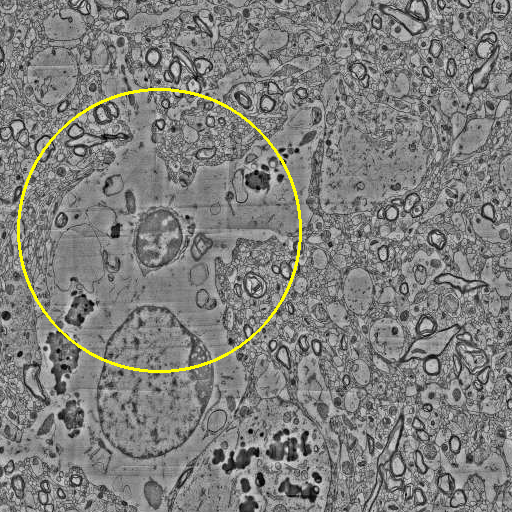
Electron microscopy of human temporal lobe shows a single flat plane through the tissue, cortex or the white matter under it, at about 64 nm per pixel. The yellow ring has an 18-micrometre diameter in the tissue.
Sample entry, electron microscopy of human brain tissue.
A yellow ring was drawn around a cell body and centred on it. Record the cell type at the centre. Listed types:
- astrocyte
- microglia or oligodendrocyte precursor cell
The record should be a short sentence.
The cell at the ring's centre is a microglial cell or oligodendrocyte precursor cell.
